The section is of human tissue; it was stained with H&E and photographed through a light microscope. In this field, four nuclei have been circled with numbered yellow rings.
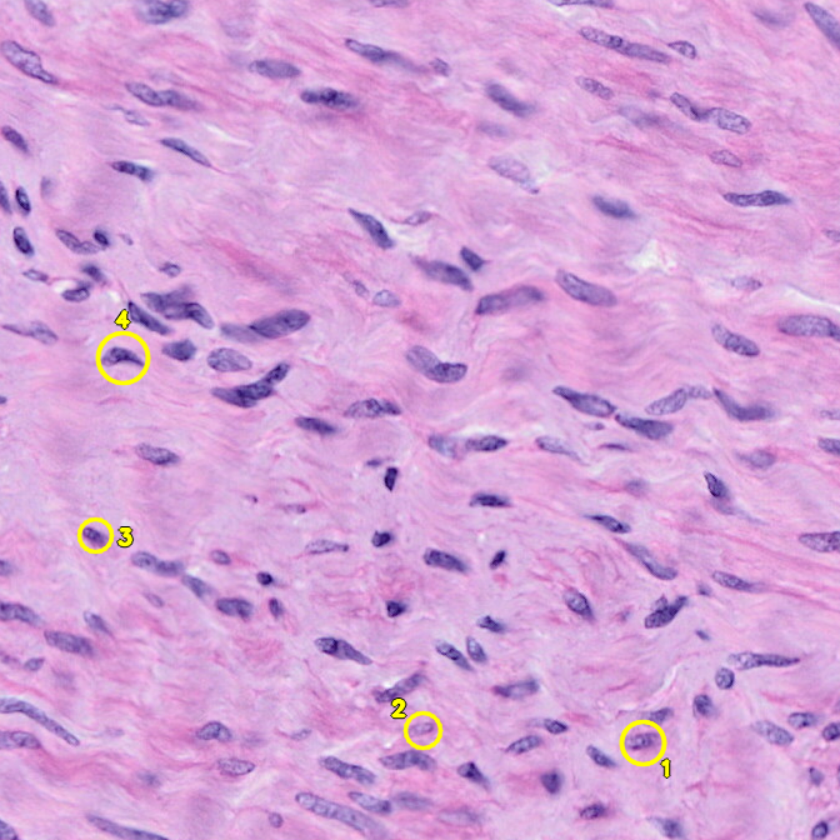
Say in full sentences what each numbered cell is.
Cell 1 is a smooth muscle cell, cell 2 is a smooth muscle cell, cell 3 is a smooth muscle cell and cell 4 is a fibroblast.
